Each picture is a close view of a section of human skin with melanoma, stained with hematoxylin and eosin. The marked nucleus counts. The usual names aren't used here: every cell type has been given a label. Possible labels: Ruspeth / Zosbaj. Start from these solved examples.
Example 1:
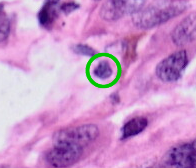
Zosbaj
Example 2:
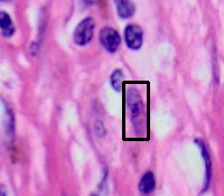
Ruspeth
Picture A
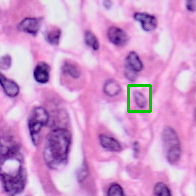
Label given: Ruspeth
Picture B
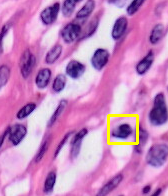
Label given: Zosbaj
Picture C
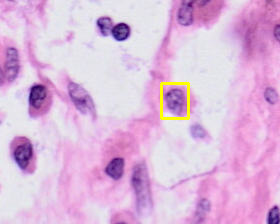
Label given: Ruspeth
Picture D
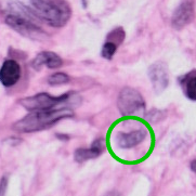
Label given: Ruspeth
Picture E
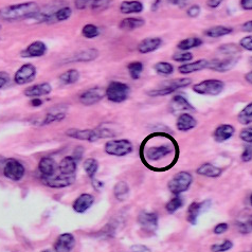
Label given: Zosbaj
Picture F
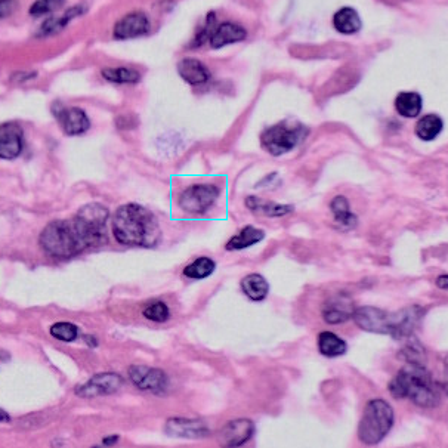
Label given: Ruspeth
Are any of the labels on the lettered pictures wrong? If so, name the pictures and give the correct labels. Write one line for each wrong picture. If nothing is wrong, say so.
All correct.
